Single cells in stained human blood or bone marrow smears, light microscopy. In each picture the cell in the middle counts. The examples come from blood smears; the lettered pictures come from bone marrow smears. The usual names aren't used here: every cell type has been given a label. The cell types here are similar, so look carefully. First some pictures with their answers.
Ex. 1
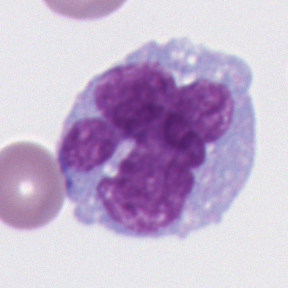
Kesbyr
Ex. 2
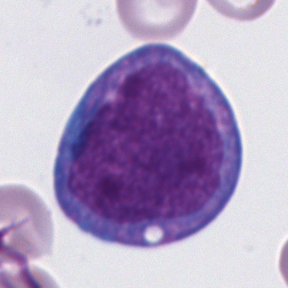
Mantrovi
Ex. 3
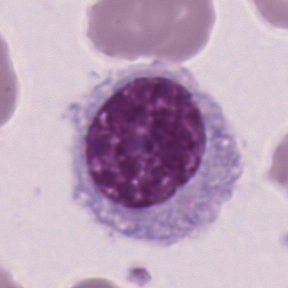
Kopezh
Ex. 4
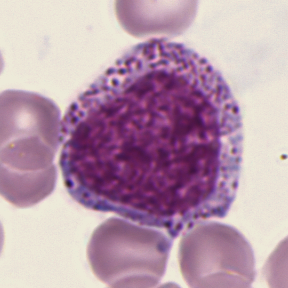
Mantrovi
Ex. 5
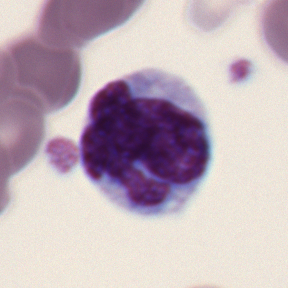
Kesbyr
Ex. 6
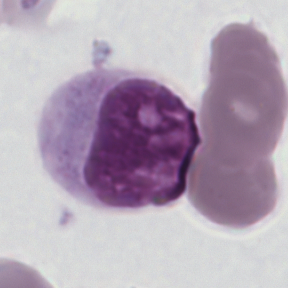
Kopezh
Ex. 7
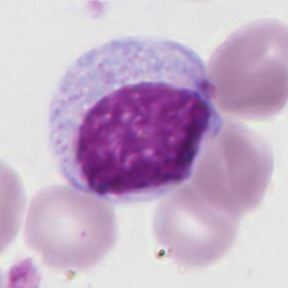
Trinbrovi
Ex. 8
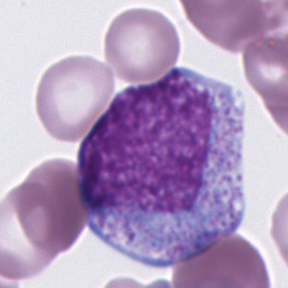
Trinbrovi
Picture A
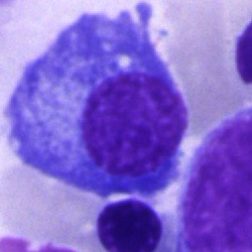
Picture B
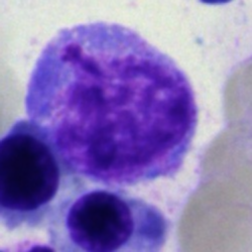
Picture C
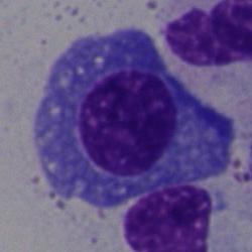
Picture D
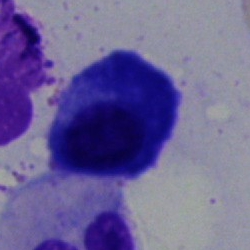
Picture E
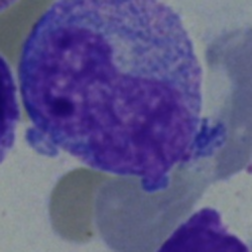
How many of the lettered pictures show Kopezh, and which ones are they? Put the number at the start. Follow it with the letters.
3: A, C, D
